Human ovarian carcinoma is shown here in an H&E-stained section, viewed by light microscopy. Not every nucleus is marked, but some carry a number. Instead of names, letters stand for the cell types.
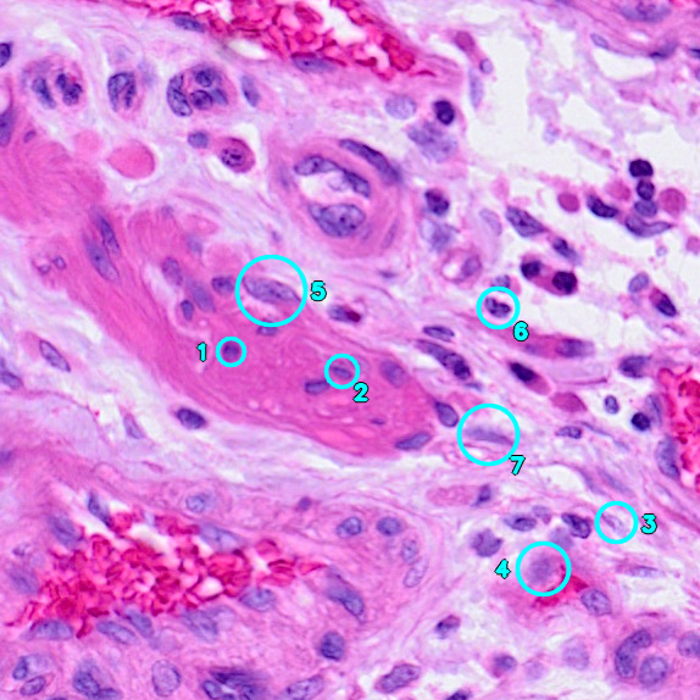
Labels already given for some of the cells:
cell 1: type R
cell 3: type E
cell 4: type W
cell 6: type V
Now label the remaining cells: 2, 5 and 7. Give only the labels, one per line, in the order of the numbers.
type R
type R
type E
